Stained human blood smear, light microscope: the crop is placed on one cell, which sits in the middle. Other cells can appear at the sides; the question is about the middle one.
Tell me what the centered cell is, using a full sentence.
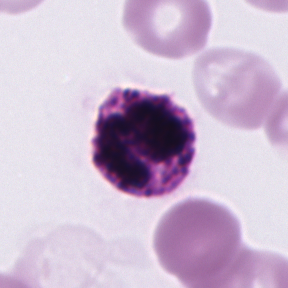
Centrally within this crop lies a basophil.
